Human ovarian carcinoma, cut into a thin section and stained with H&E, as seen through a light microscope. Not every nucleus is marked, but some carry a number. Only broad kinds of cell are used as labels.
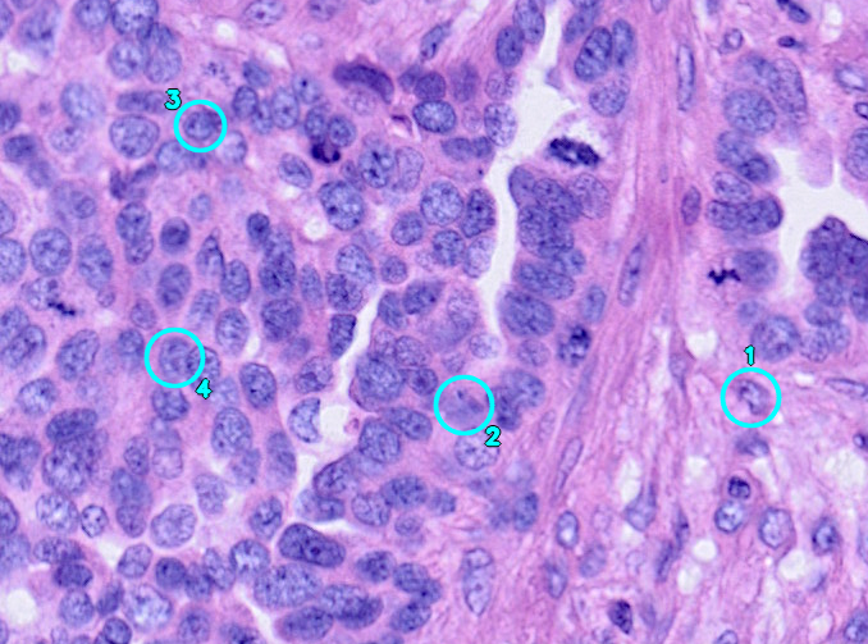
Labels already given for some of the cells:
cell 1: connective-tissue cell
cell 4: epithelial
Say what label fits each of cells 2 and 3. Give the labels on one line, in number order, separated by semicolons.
epithelial; epithelial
